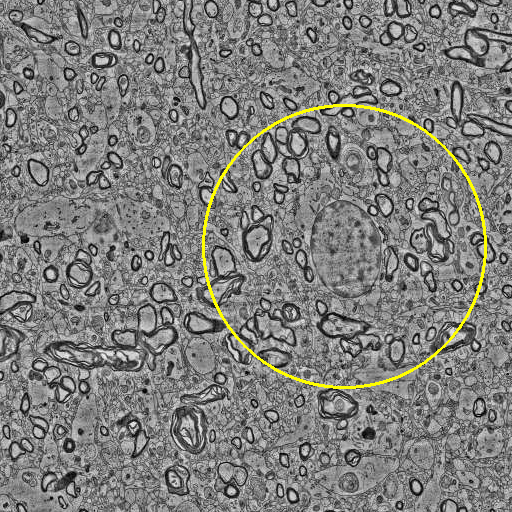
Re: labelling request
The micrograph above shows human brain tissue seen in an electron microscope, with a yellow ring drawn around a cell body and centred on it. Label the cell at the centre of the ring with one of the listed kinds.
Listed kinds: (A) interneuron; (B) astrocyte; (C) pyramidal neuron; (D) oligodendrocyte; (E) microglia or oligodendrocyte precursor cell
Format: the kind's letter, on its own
E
